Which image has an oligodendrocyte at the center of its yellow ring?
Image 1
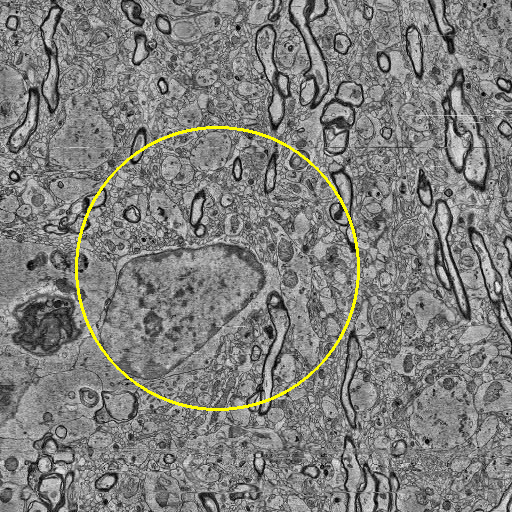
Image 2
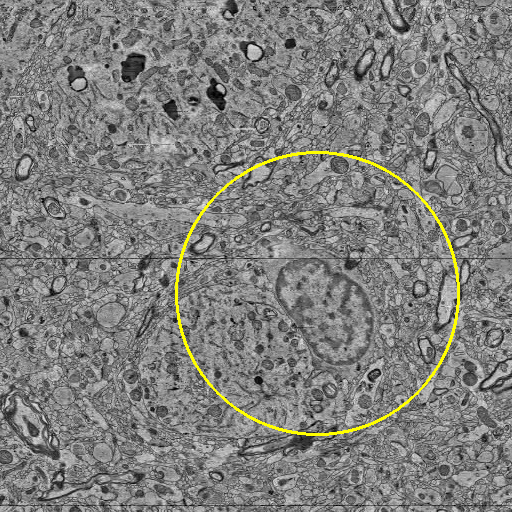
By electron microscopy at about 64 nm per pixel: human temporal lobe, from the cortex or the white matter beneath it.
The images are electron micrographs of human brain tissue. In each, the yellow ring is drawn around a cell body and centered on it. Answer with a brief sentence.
It is at the center of the ring in Image 2.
